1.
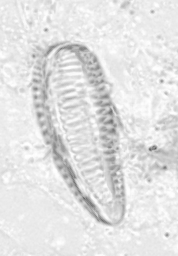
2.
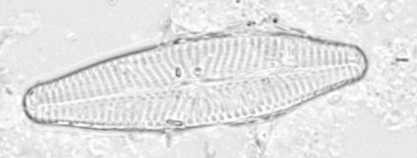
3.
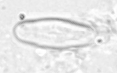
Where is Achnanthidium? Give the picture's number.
3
